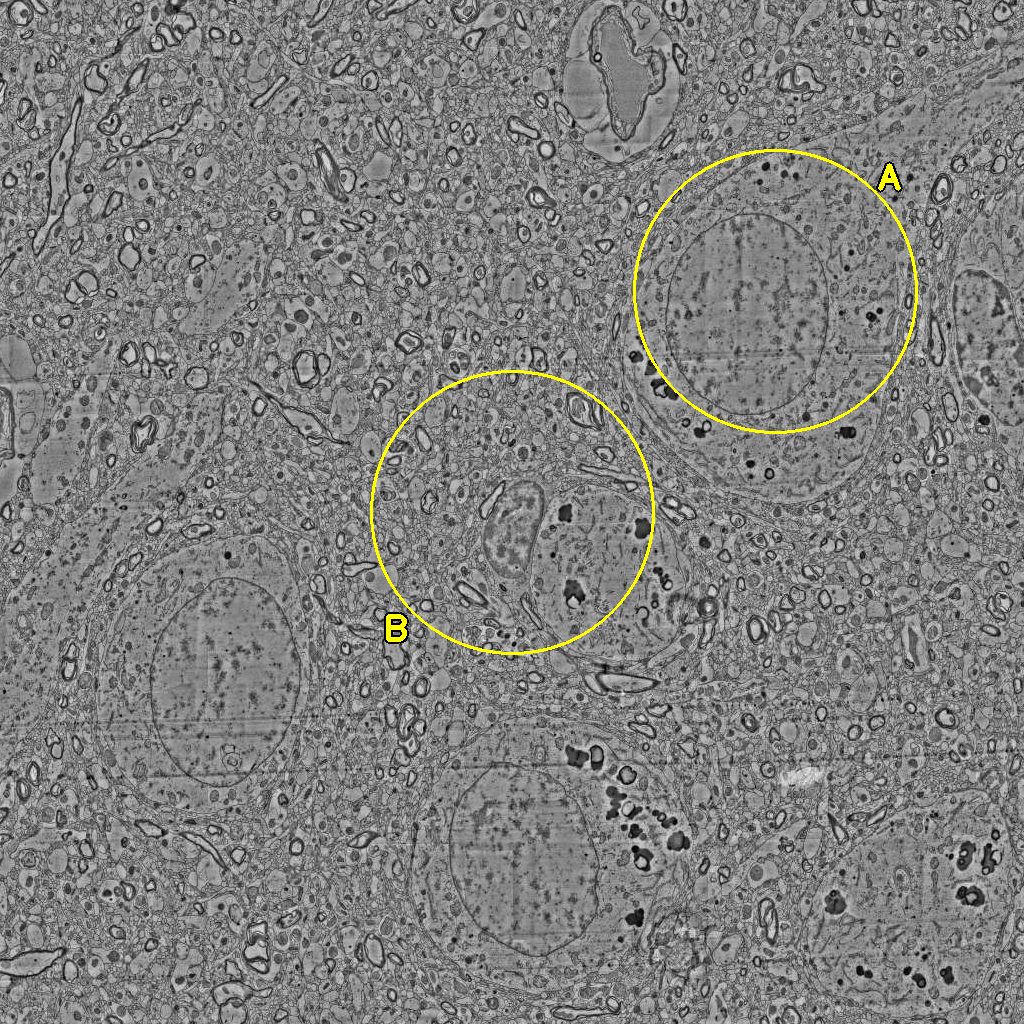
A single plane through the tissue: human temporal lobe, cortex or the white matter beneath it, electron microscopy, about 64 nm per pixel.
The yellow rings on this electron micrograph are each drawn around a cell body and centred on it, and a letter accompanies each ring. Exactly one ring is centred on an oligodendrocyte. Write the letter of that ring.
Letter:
B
